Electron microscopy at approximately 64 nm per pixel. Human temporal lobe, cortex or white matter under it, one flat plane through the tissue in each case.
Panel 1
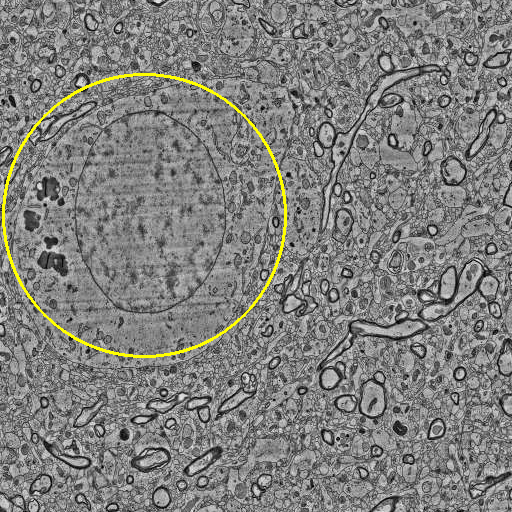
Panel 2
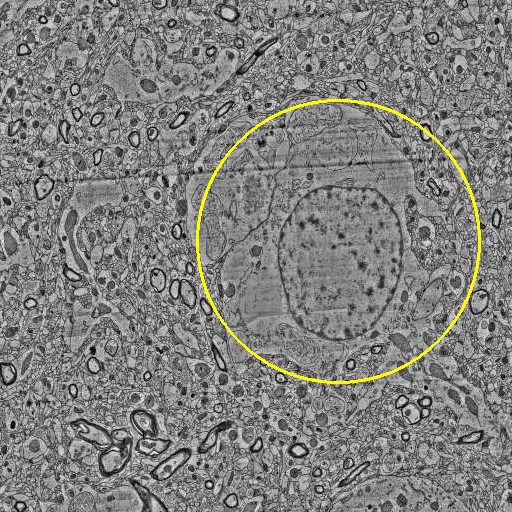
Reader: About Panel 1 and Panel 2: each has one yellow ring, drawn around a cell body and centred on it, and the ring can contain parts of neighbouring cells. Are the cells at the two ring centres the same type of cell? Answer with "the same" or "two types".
two types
